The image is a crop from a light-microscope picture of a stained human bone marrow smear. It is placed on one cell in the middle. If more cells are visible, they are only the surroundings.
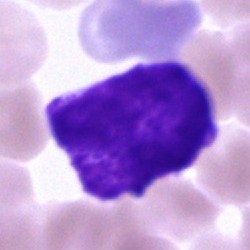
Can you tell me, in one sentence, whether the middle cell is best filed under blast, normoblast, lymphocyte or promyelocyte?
For this crop, the central cell is a blast.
